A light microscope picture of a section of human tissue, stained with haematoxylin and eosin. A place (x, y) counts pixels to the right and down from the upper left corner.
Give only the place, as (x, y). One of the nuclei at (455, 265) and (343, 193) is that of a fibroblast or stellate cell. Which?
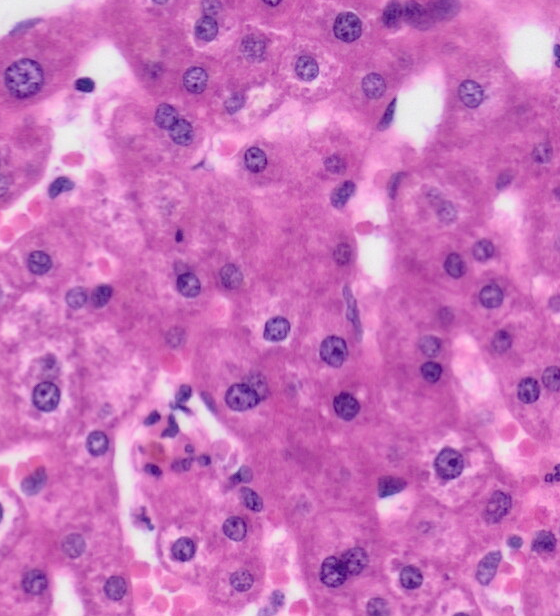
(343, 193)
